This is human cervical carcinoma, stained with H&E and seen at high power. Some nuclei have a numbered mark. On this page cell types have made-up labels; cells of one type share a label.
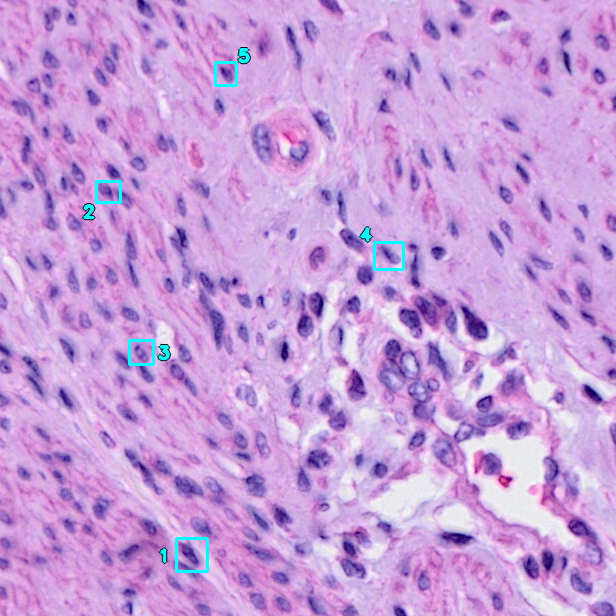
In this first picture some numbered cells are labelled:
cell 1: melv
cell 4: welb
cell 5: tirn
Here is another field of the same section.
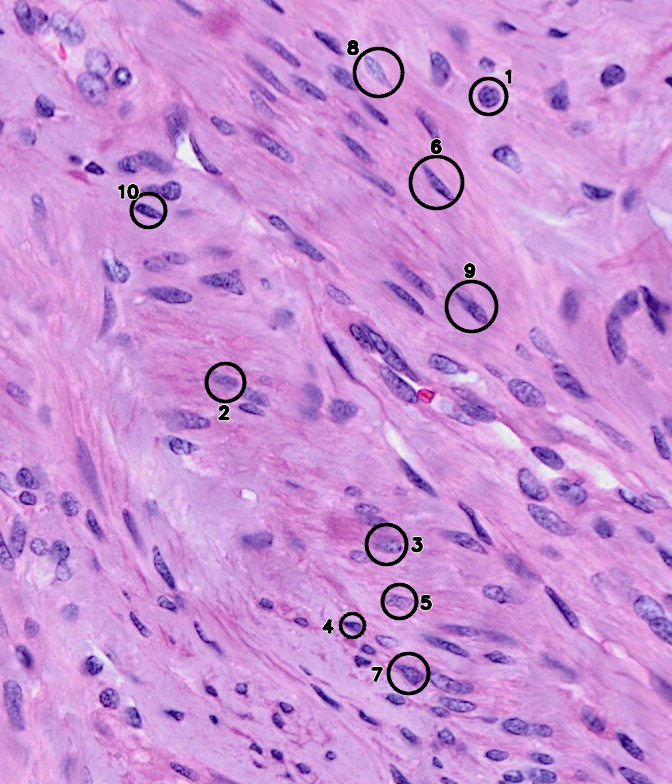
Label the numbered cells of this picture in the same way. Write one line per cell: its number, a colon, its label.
1: melv
2: tirn
3: tirn
4: tirn
5: tirn
6: welb
7: tirn
8: welb
9: welb
10: welb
